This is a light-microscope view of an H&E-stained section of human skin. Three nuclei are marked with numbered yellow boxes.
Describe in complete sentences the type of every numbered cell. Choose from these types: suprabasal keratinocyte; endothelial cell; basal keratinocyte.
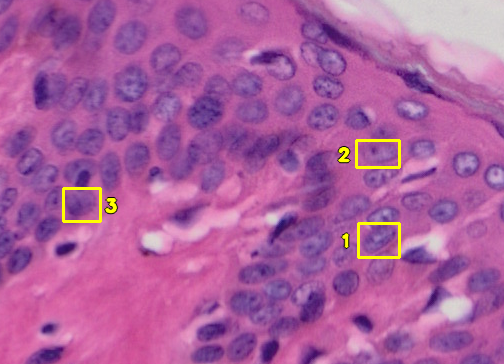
Cell 1 is a suprabasal keratinocyte, cell 2 is a suprabasal keratinocyte and cell 3 is a basal keratinocyte.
